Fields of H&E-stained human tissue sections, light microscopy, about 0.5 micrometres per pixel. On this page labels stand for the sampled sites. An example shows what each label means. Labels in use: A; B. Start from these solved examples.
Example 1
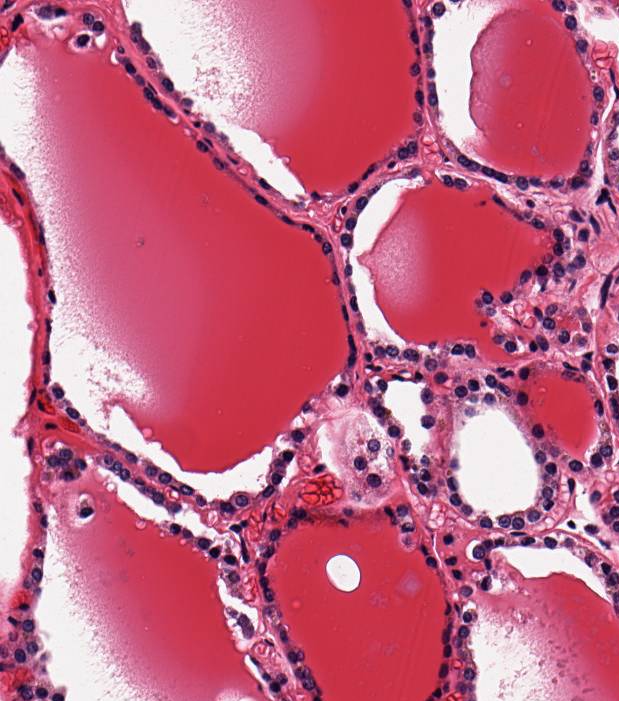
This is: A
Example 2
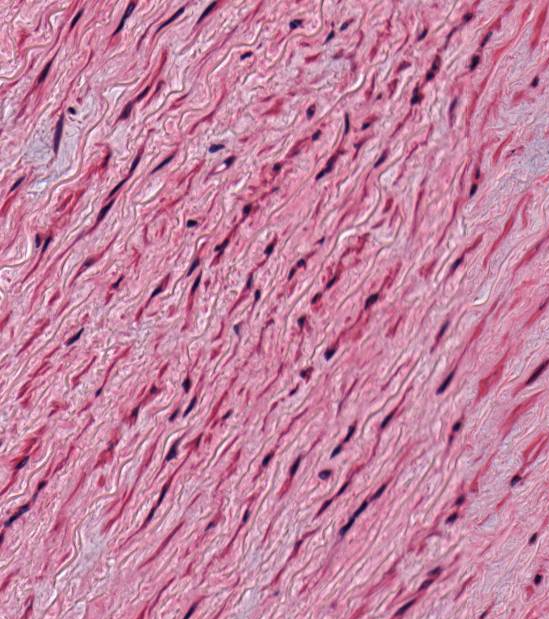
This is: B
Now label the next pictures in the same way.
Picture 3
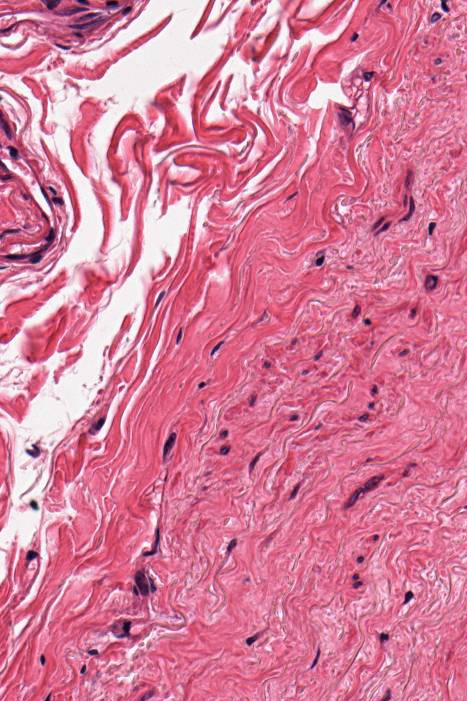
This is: B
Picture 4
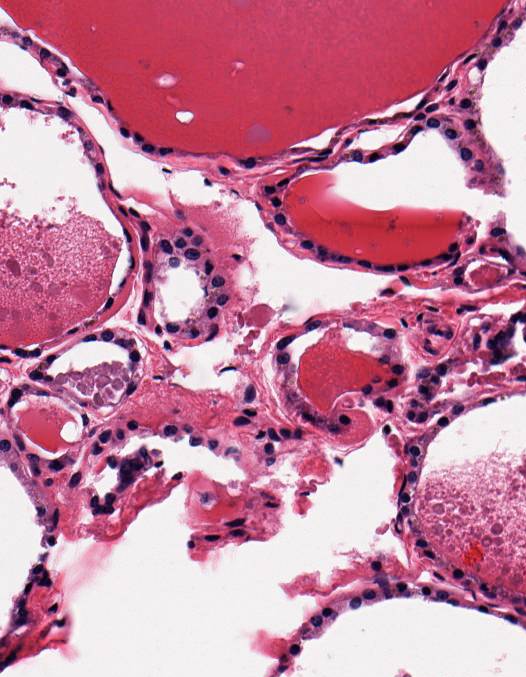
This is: A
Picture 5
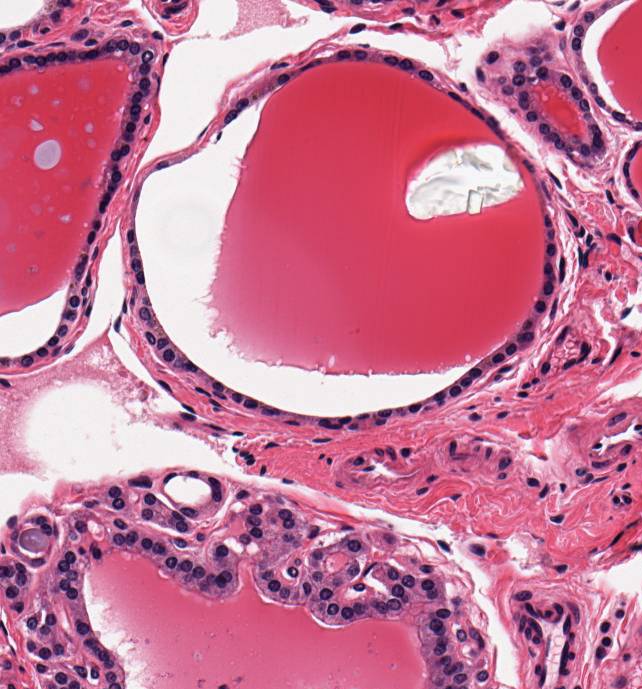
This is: A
